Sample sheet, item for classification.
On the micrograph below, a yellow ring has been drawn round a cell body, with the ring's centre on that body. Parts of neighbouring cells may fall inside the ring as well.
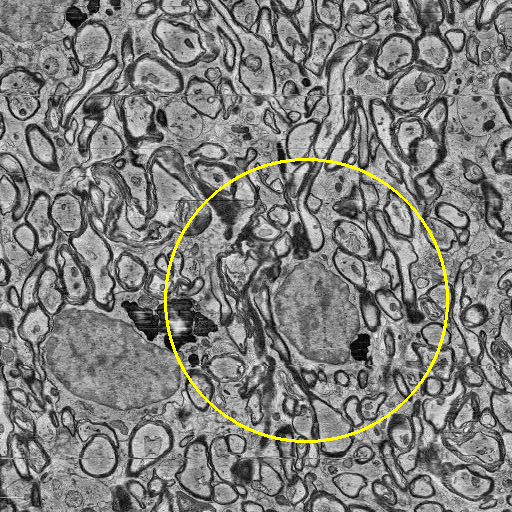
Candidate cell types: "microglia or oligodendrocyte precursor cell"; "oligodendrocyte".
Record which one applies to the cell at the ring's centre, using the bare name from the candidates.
oligodendrocyte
